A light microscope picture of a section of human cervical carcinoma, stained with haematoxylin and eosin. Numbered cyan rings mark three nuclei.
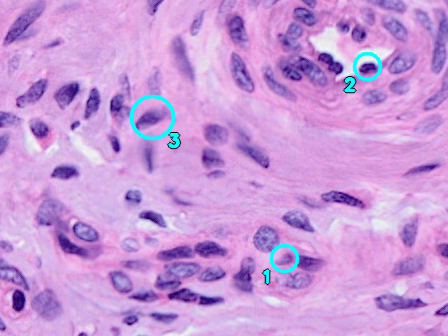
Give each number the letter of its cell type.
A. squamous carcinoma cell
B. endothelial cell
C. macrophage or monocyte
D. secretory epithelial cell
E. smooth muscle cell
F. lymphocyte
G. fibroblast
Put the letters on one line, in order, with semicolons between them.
B; B; G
